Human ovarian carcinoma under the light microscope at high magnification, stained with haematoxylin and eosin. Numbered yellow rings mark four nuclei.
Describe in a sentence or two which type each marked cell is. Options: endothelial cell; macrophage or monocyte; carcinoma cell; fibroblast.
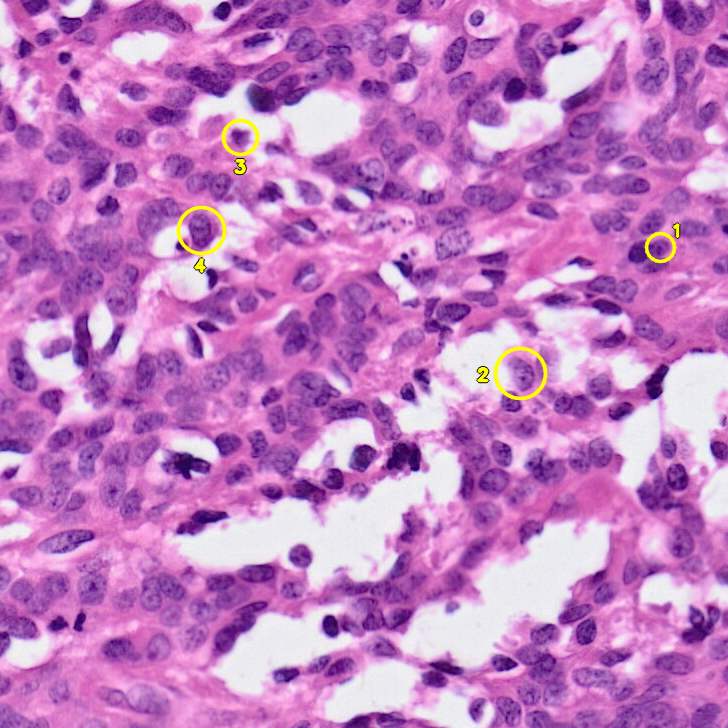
Cell 1 is a carcinoma cell, cell 2 is a macrophage or monocyte, cell 3 is a carcinoma cell and cell 4 is a carcinoma cell.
